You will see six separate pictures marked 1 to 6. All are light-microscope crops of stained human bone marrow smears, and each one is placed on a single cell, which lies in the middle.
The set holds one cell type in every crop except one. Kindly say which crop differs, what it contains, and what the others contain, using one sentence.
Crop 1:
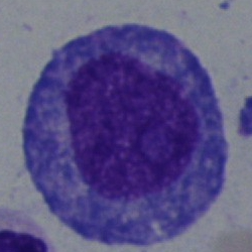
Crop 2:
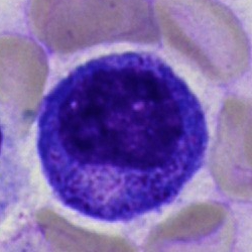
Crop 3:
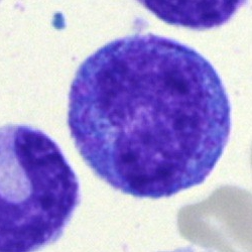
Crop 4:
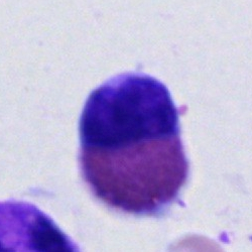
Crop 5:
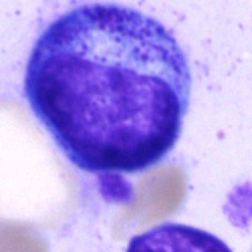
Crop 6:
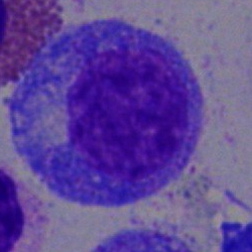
Crop 4 presents an eosinophil, while promyelocytes are presented by all other crops.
